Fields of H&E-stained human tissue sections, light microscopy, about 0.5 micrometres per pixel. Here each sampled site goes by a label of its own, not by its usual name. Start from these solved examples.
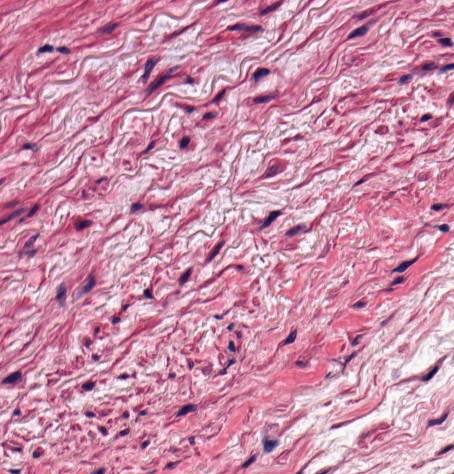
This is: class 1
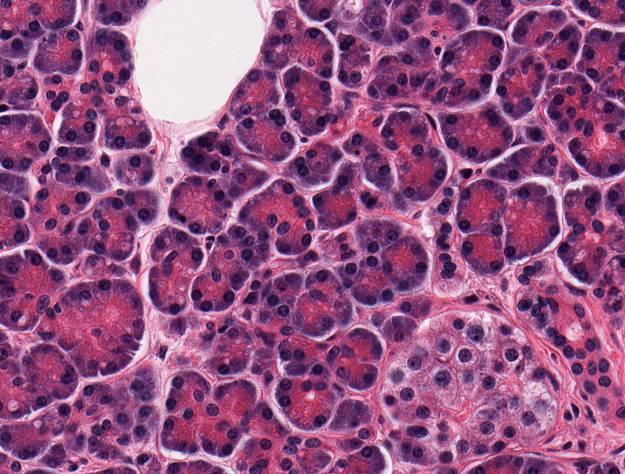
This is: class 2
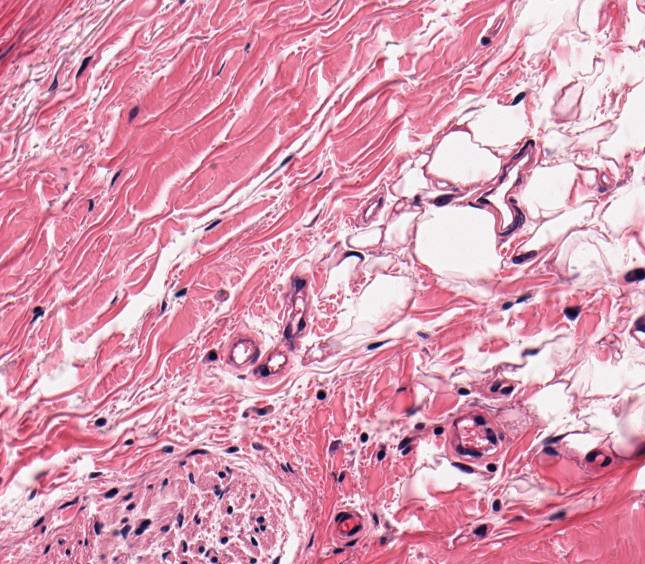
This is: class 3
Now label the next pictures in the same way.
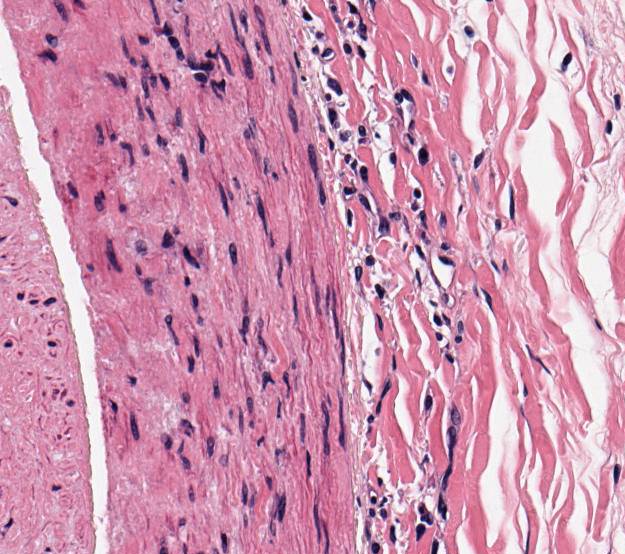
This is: class 3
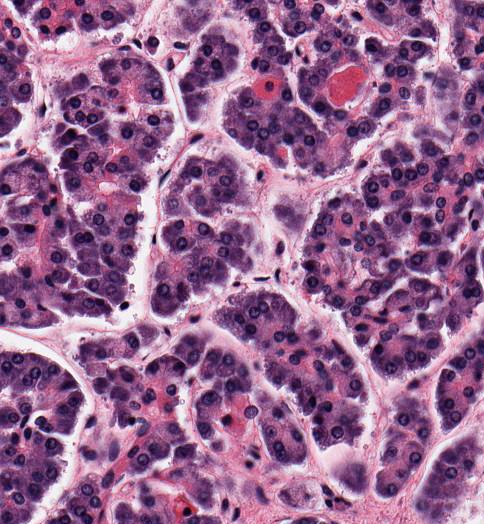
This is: class 2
